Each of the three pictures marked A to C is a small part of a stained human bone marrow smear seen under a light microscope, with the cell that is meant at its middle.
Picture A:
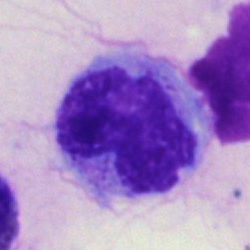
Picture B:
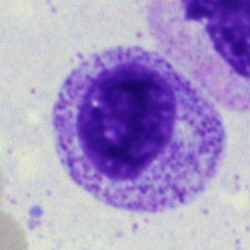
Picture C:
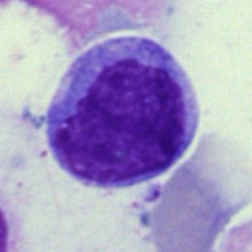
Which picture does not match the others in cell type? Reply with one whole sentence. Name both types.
The others show monocytes, but picture B shows a myelocyte.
